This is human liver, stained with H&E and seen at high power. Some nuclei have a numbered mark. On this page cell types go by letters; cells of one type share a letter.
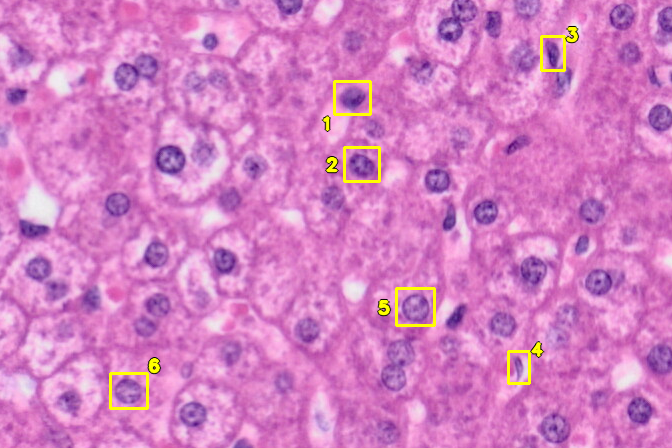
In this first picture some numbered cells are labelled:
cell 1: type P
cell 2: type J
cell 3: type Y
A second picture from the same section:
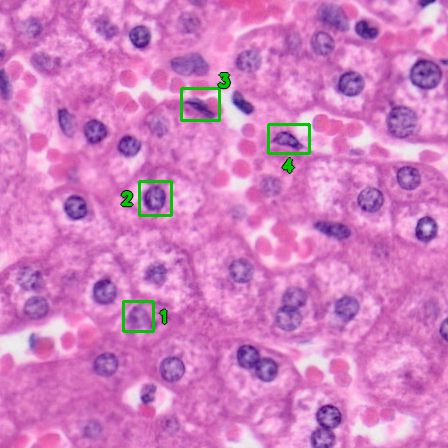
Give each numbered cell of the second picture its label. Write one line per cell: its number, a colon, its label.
1: type J
2: type J
3: type P
4: type Y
